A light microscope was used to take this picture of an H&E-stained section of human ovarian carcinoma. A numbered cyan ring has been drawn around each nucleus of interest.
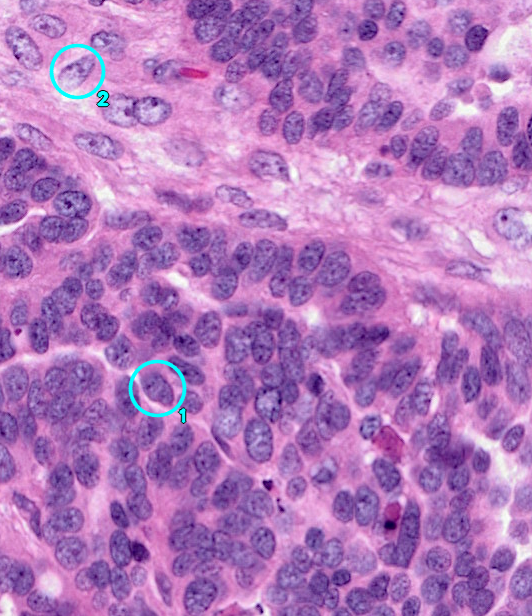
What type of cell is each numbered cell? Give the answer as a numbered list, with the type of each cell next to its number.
1. carcinoma cell
2. fibroblast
